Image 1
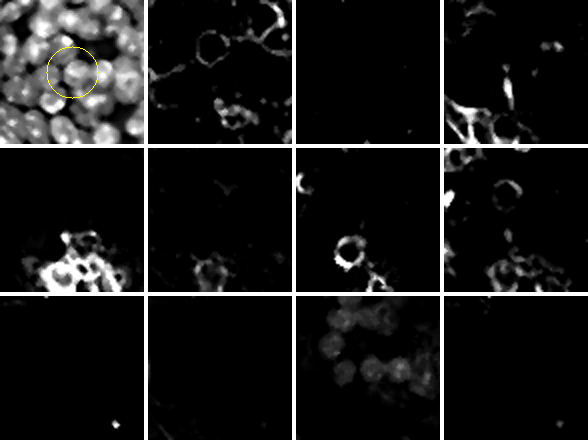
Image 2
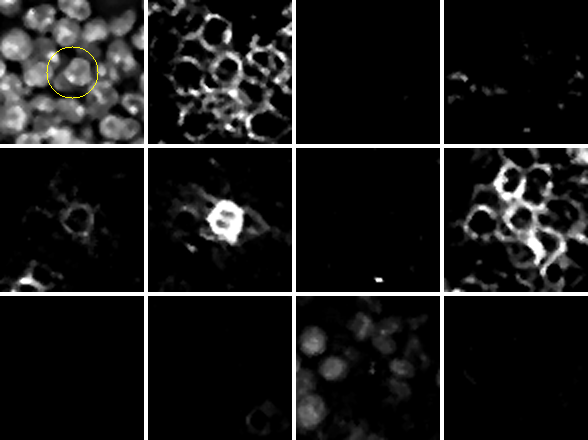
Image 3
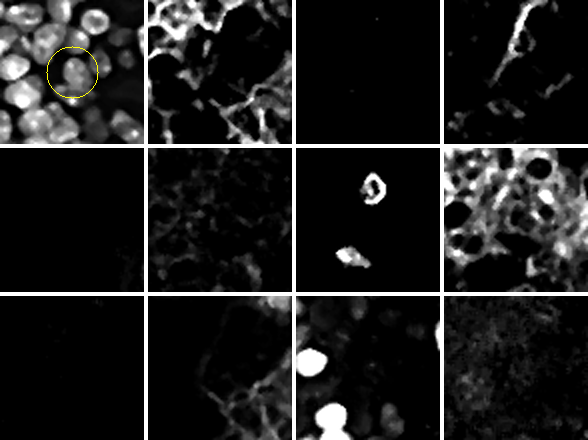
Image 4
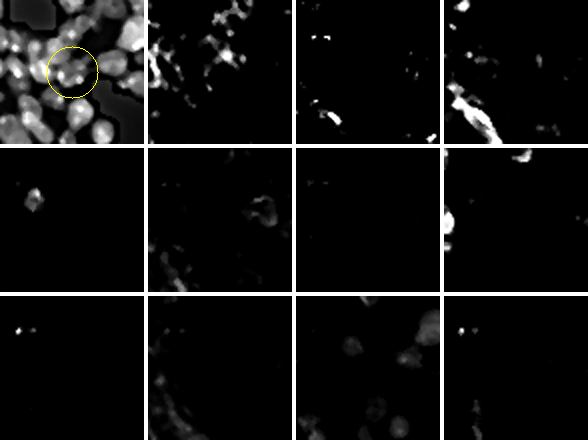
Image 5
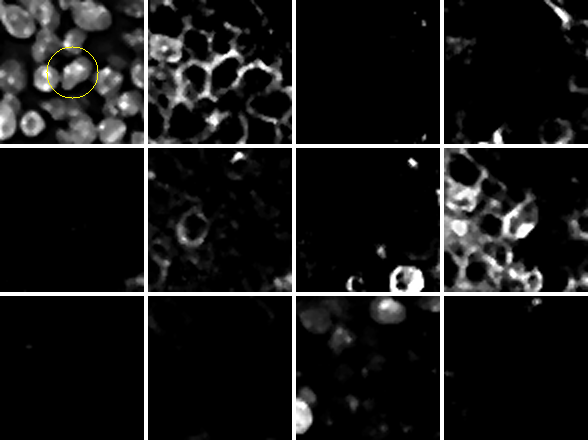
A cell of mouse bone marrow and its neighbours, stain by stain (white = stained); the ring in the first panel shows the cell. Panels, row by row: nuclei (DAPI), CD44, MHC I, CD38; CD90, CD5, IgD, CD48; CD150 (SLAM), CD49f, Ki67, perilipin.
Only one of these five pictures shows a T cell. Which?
Picture 2.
